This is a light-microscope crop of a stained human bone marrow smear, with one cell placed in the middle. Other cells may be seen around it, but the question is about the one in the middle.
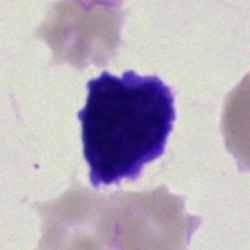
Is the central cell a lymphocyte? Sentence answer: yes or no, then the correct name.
No, the cell in the middle of the crop counts as a blast and not as a lymphocyte.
